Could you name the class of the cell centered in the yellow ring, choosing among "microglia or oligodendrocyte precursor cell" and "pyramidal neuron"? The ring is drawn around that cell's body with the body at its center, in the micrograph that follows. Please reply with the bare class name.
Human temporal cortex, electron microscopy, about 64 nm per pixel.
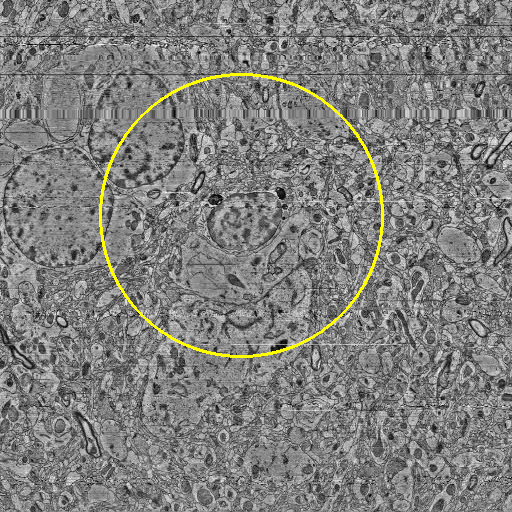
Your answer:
microglia or oligodendrocyte precursor cell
